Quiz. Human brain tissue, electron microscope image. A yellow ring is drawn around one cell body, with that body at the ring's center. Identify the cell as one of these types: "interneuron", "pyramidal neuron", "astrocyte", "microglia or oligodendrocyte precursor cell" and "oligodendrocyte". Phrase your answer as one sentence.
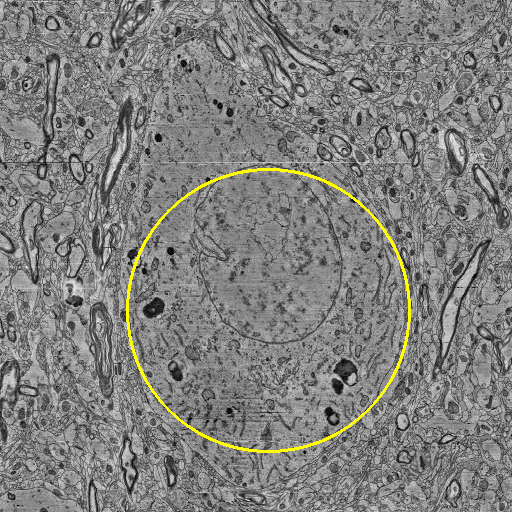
At the center of the ring sits a pyramidal neuron.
